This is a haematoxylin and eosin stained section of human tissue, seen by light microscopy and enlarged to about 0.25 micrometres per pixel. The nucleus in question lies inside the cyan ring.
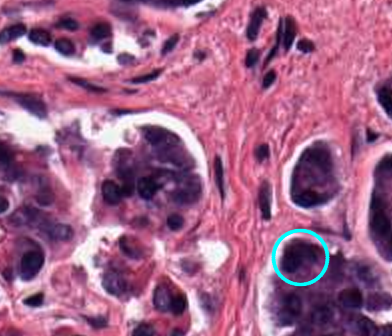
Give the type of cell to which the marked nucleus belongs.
pancreatic acinar cell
